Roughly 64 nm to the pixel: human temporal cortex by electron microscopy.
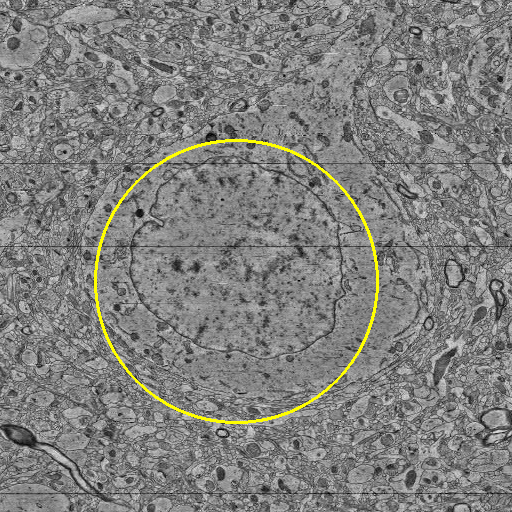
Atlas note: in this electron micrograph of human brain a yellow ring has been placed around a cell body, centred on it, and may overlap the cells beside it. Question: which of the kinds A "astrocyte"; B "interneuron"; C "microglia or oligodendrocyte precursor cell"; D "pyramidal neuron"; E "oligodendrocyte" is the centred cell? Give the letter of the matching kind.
D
